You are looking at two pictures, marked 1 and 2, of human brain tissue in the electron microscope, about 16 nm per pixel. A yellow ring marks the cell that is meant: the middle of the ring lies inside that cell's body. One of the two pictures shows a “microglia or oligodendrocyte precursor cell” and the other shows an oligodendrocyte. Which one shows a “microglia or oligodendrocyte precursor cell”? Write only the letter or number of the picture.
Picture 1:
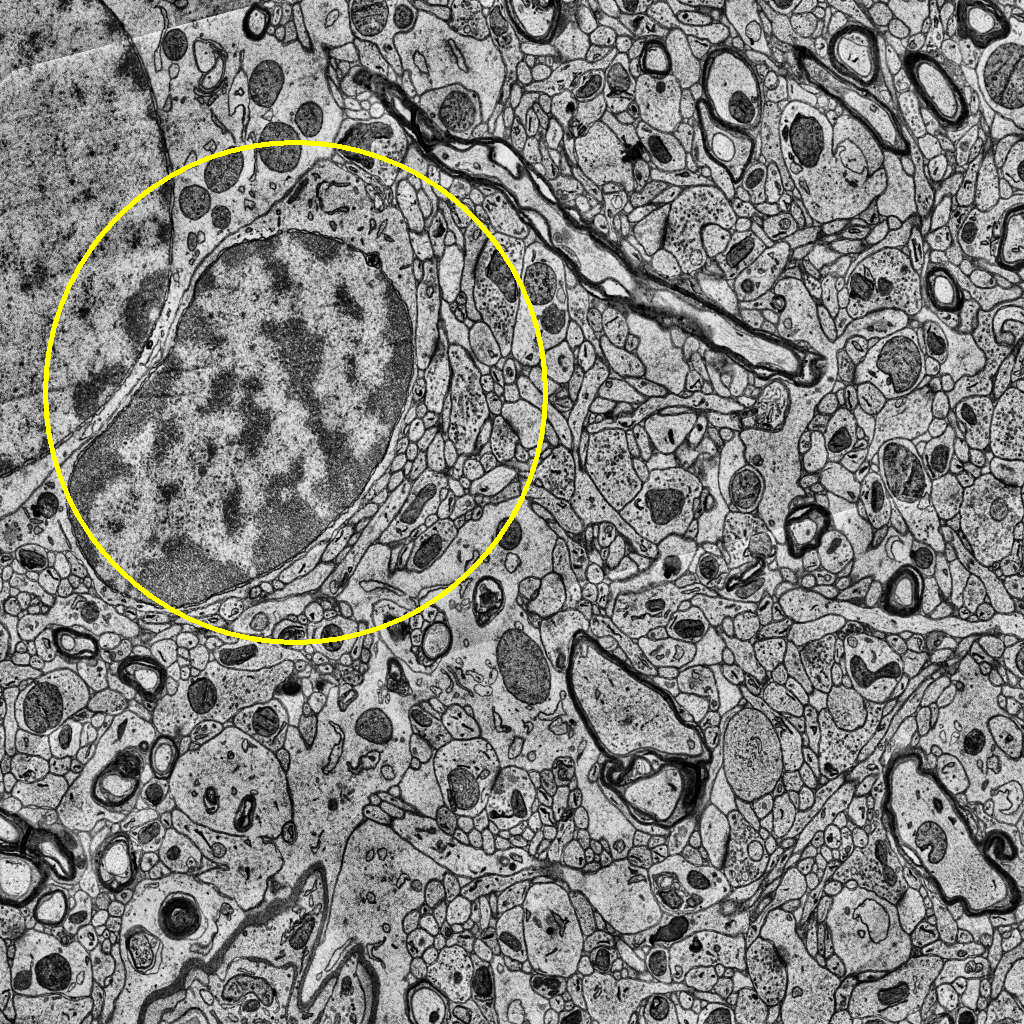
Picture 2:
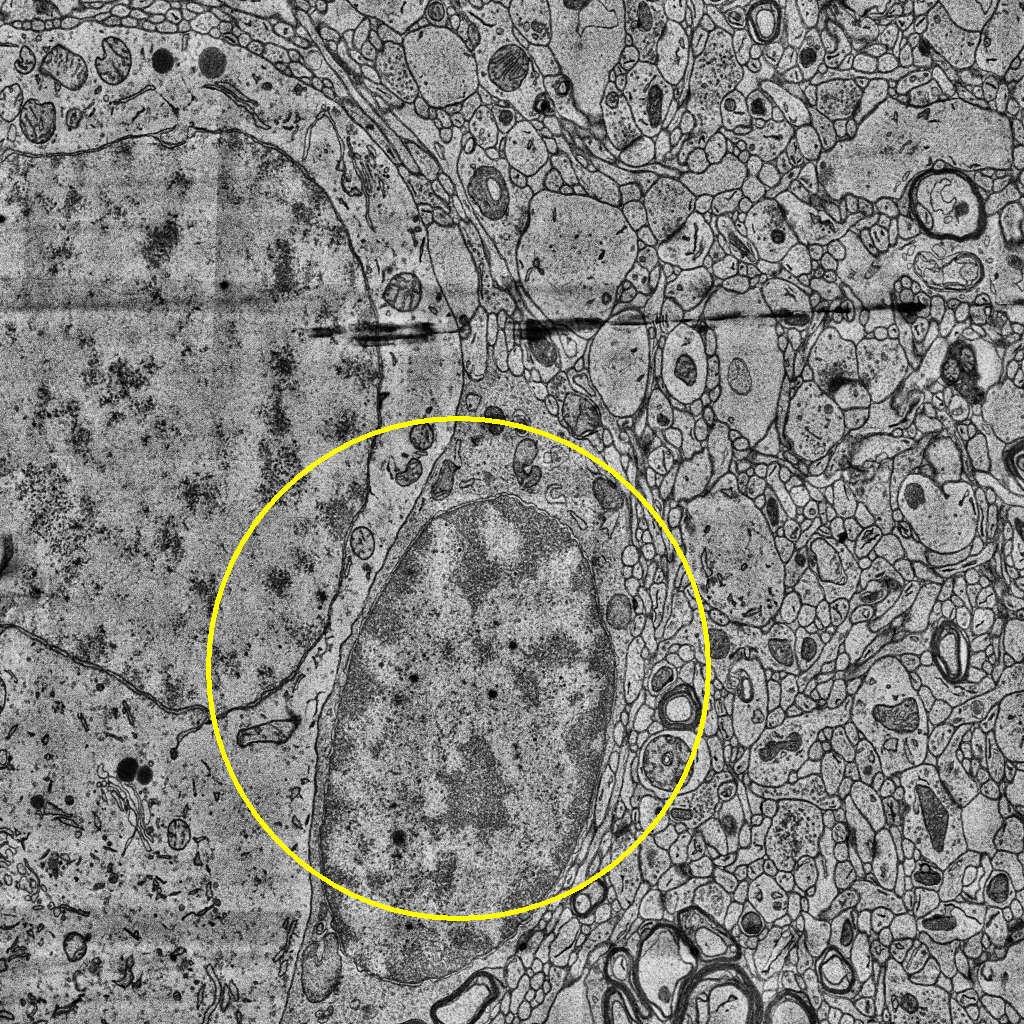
1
